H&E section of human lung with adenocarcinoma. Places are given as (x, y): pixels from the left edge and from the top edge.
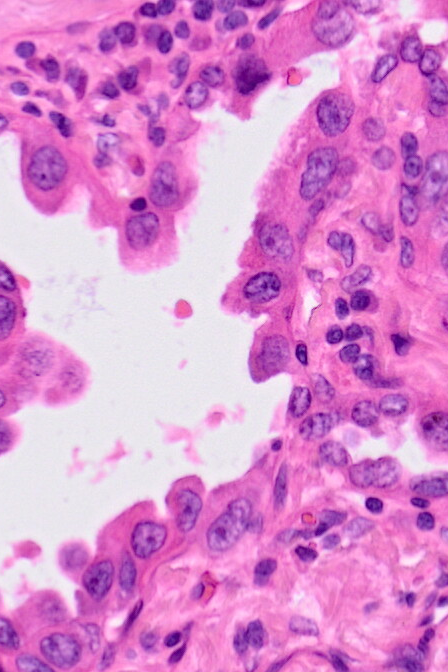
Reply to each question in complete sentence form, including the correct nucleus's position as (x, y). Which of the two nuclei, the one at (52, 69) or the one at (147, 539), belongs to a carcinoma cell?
The member of the pair belonging to a carcinoma cell is the nucleus at (147, 539).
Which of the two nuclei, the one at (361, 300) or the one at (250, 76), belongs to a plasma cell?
The nucleus at (361, 300) is the member of the pair belonging to a plasma cell.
